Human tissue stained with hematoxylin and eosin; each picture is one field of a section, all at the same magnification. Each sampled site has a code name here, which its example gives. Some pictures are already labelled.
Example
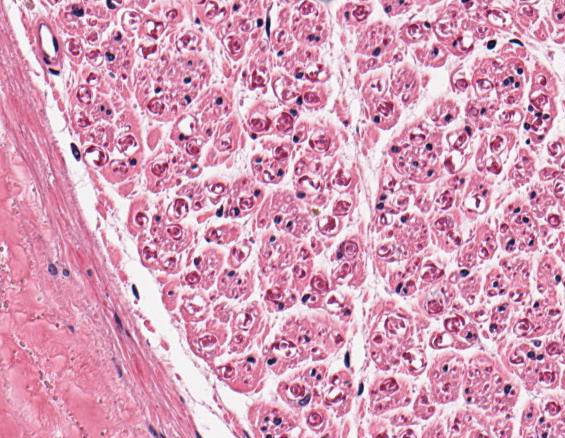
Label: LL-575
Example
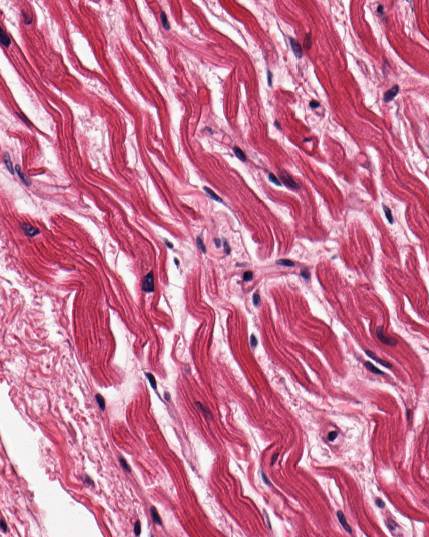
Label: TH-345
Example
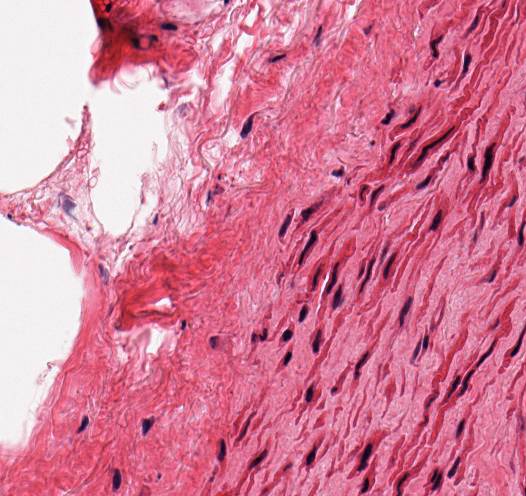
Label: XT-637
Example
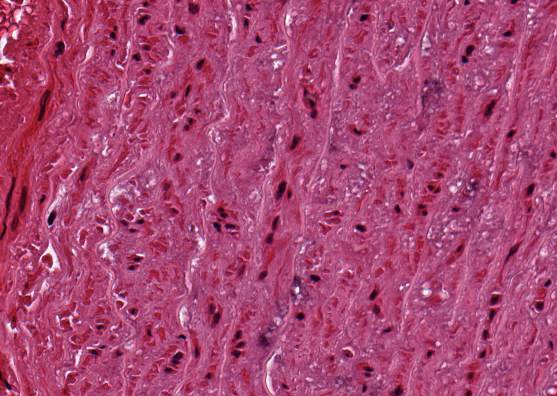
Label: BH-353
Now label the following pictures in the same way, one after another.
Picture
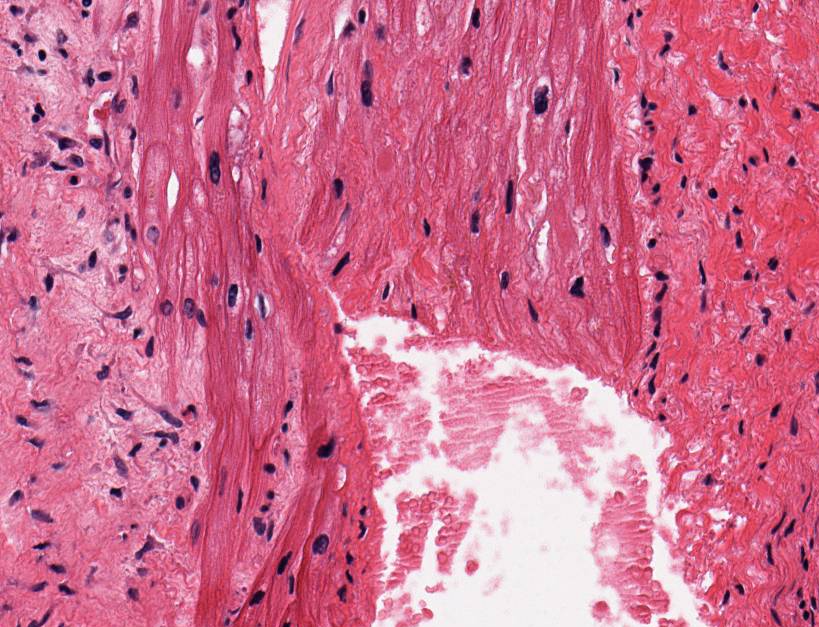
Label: TH-345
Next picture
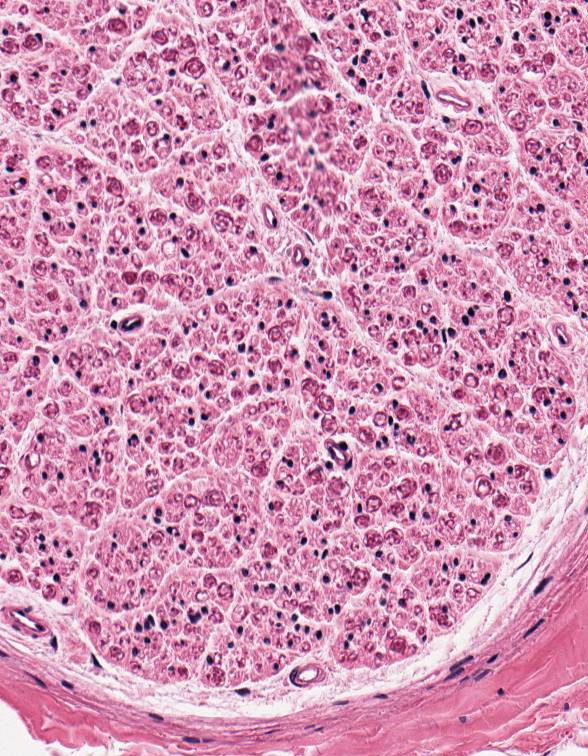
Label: LL-575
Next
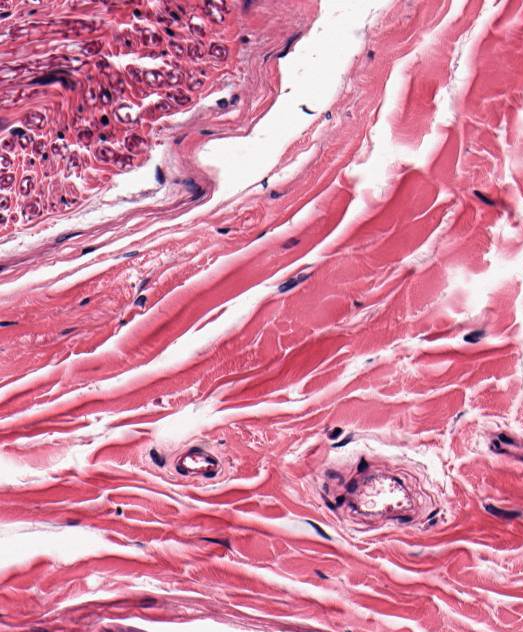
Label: LL-575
